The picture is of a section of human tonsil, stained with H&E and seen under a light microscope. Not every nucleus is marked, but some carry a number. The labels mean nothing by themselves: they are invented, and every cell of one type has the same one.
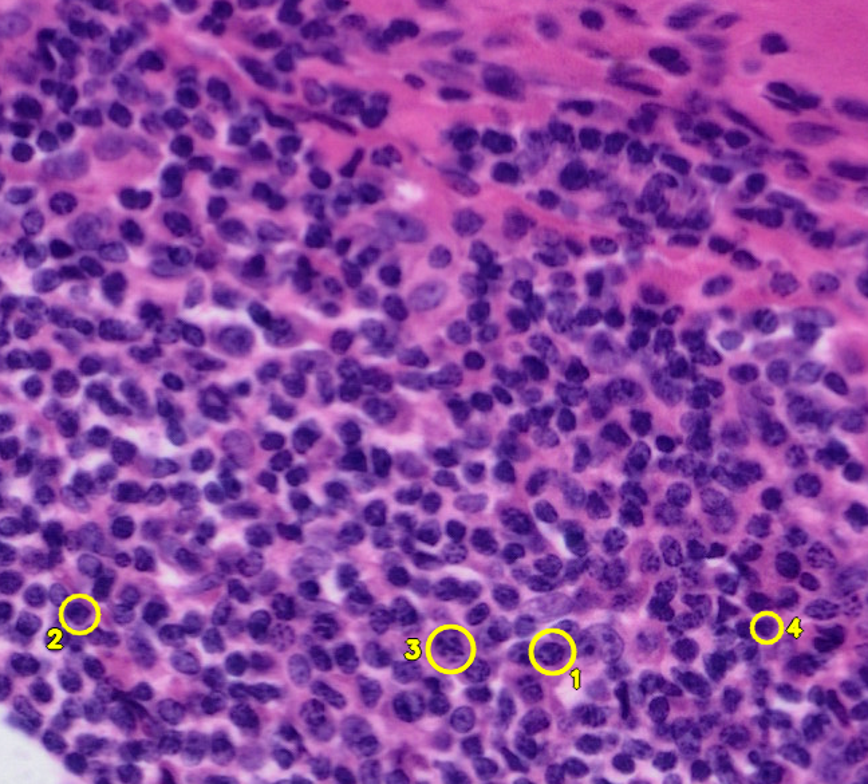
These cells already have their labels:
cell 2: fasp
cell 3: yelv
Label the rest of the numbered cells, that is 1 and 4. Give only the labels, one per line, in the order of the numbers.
yelv
fasp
